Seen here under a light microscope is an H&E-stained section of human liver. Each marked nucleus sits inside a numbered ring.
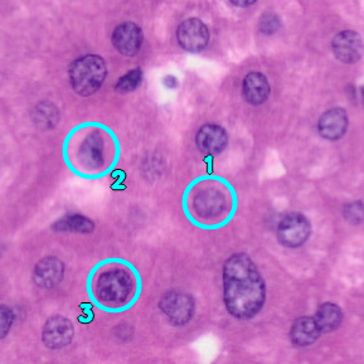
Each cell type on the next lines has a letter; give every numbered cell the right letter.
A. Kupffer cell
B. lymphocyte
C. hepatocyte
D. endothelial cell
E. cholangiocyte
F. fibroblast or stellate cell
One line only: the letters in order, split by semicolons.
C; D; C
